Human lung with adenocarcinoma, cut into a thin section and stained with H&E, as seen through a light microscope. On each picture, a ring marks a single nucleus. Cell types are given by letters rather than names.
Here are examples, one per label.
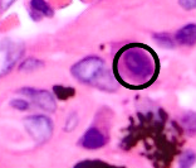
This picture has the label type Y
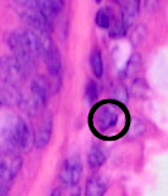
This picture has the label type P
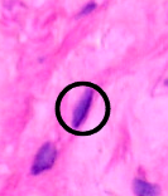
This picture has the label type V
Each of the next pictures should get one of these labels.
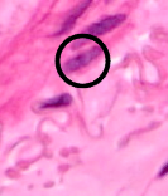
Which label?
type V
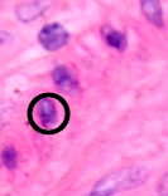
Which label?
type V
